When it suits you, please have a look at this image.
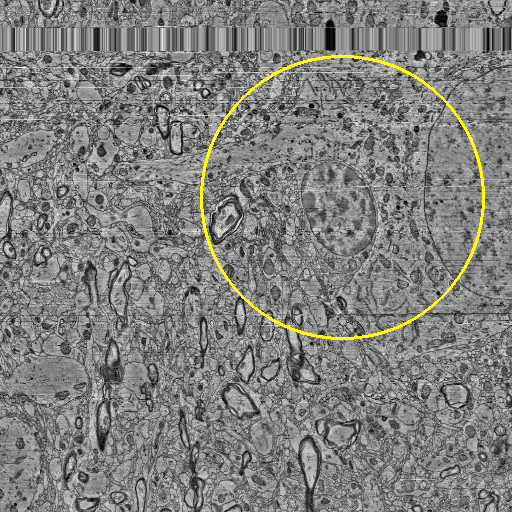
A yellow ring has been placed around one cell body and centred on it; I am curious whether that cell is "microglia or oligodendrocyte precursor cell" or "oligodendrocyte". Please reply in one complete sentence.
The ringed cell, an oligodendrocyte, has its body at the centre of the yellow ring.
